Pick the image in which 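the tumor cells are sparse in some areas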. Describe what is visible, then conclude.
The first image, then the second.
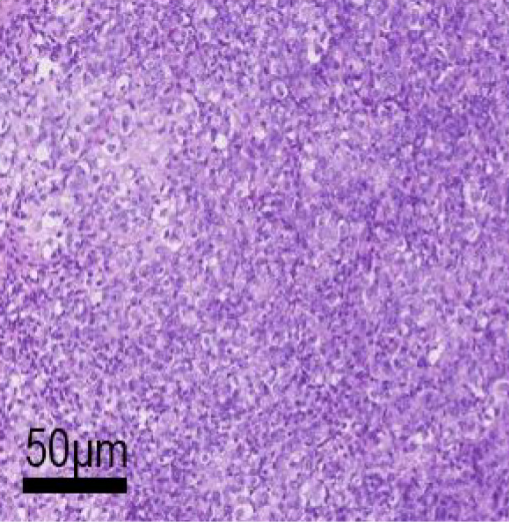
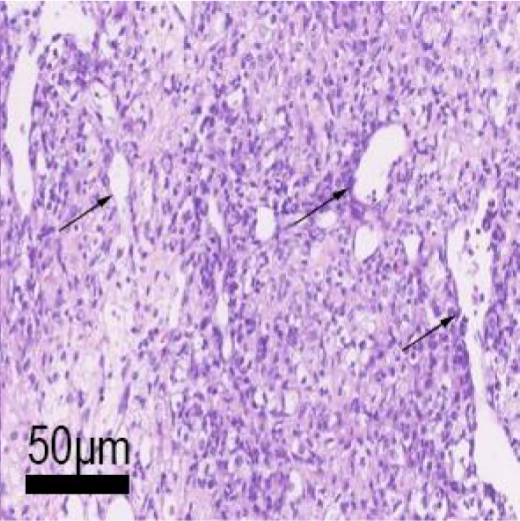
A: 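Second image: cells lie loosely with pale pink areas and clear spaces between them. That points to this answer: the second image.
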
